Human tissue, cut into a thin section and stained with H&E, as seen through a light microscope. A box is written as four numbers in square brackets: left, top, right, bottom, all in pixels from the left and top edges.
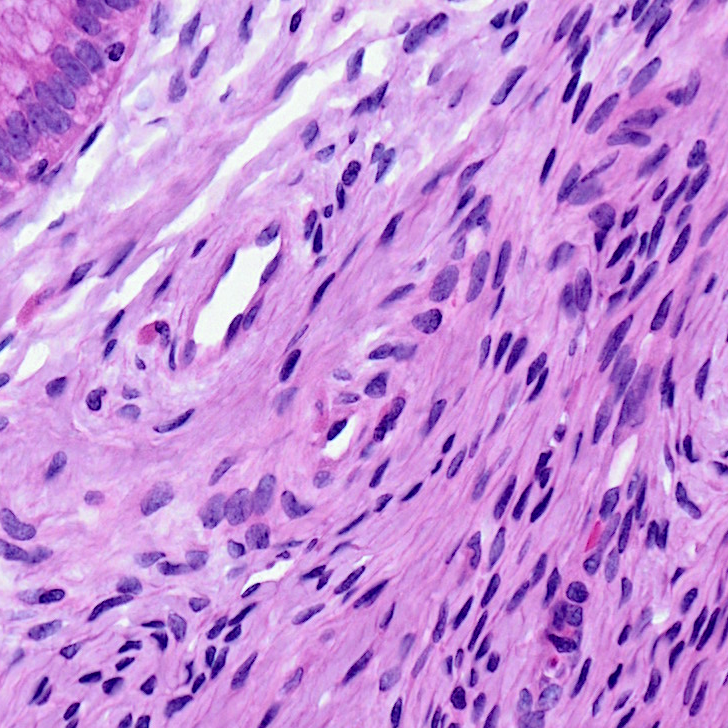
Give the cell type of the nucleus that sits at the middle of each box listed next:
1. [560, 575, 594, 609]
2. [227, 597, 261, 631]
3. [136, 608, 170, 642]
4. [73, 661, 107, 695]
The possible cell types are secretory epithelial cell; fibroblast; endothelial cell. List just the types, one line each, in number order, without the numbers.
endothelial cell
fibroblast
fibroblast
fibroblast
